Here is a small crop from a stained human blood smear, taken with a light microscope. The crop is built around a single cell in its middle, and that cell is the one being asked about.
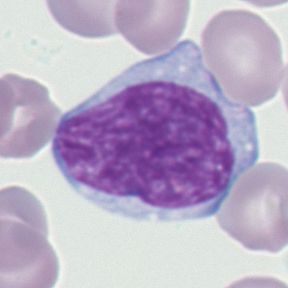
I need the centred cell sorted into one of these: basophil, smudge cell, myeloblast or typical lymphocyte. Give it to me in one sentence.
The centrally placed cell is classified as a myeloblast.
